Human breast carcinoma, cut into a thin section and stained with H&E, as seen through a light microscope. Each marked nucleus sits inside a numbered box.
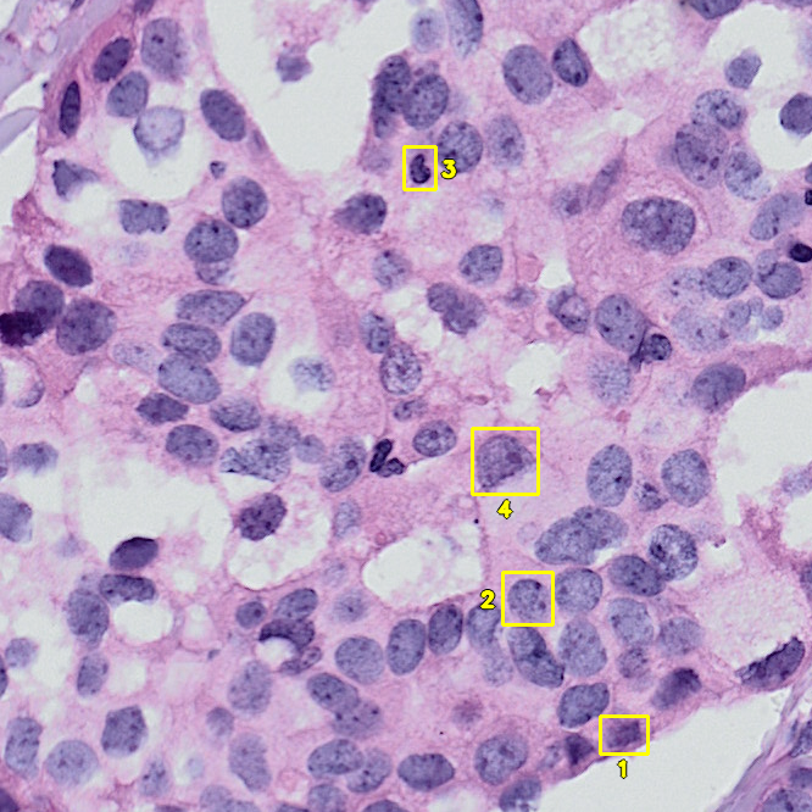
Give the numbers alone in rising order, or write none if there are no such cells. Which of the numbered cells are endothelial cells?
none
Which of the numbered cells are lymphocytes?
3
